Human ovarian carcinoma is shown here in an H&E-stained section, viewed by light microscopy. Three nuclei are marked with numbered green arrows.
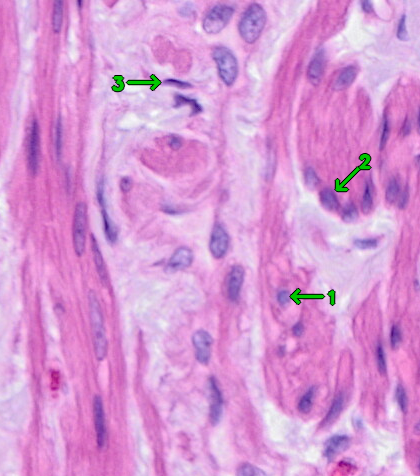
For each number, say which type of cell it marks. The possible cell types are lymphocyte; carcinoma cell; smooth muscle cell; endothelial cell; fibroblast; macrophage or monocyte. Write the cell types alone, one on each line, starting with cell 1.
smooth muscle cell
smooth muscle cell
fibroblast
